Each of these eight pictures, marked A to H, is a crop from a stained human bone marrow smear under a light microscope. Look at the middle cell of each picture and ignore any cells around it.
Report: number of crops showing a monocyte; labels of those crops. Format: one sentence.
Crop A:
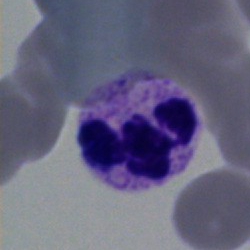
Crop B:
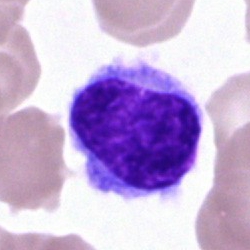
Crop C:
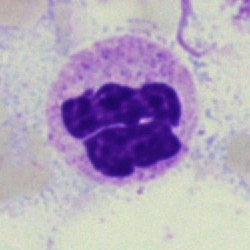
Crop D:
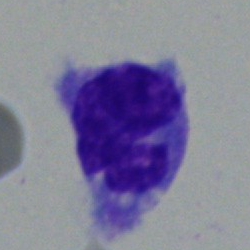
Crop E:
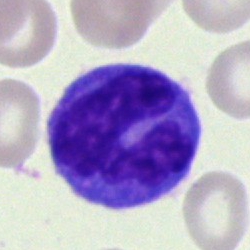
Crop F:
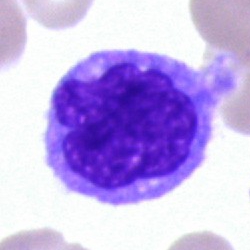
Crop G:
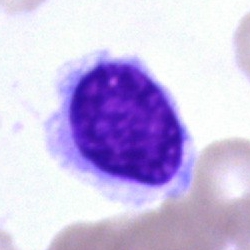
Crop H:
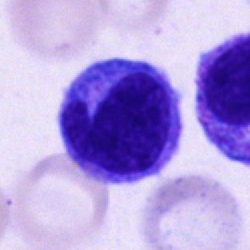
Under the heading of monocytes fall four crops, D, E, F and H.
